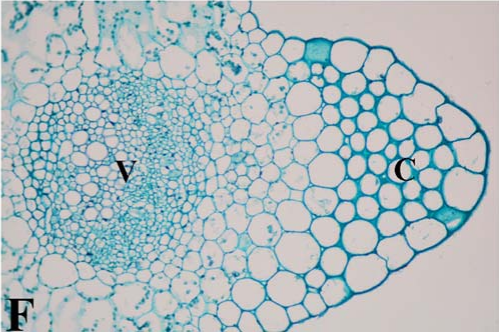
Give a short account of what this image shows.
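This cross section through a leaf vein shows a vascular bundle of many small, tightly packed cells at the left, surrounded by larger, thin-walled rounded parenchyma cells. To the right the section forms a projecting rib of collenchyma, whose rounded cells have walls stained deep blue-green and thickened, especially toward the outer surface. Above, the edge of the mesophyll is visible with irregular cells.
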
